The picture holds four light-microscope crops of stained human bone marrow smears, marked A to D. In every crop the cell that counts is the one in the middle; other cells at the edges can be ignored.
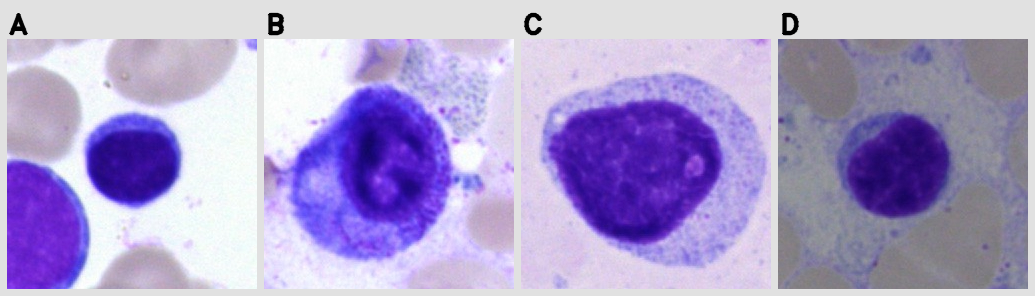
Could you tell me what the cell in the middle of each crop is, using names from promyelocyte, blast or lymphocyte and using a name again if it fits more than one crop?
A: lymphocyte
B: promyelocyte
C: promyelocyte
D: lymphocyte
